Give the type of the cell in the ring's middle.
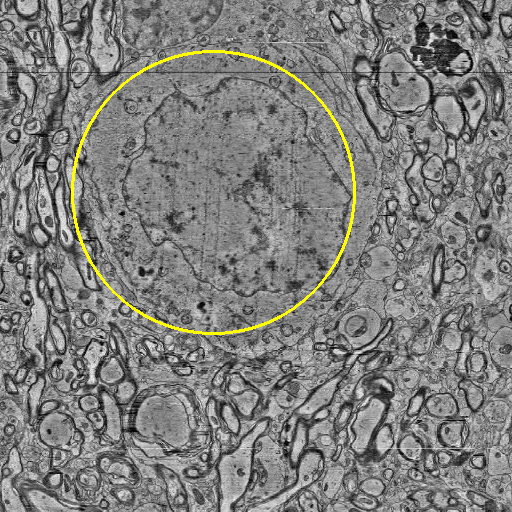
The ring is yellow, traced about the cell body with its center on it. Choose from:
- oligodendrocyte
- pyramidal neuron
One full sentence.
Here, a pyramidal neuron is the cell lying at the center of the yellow ring.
